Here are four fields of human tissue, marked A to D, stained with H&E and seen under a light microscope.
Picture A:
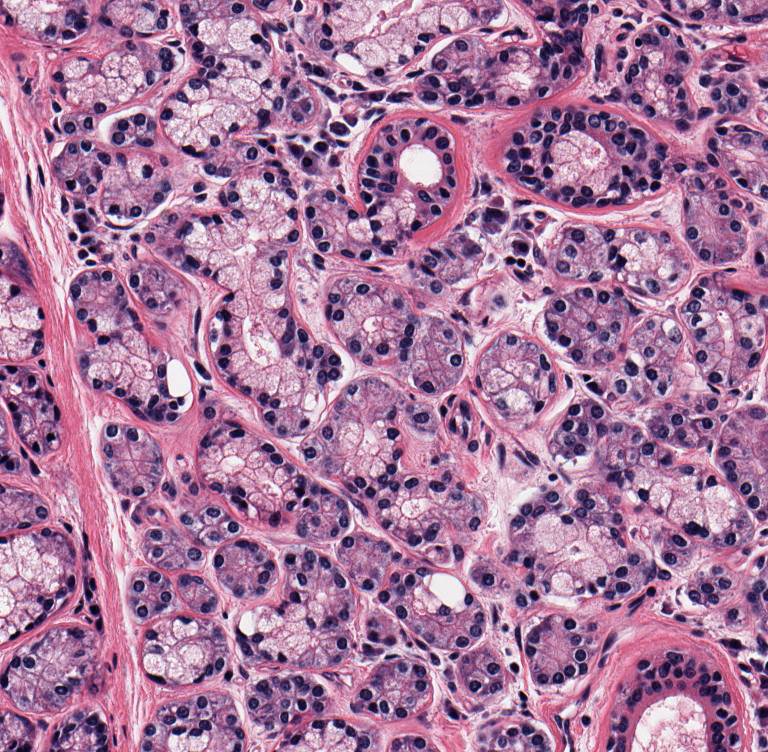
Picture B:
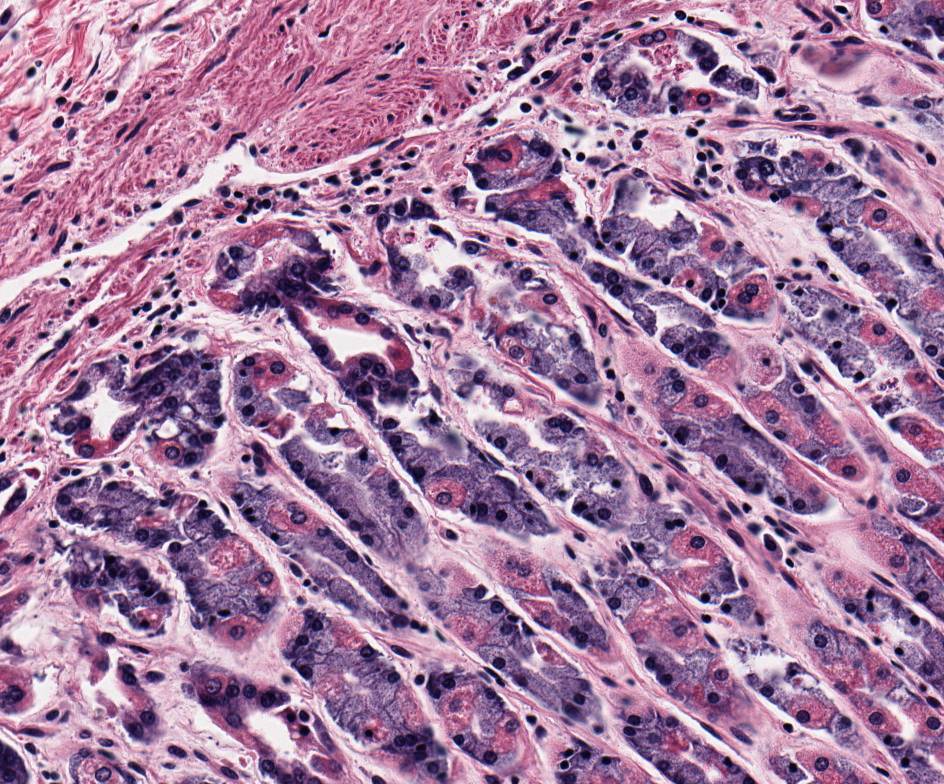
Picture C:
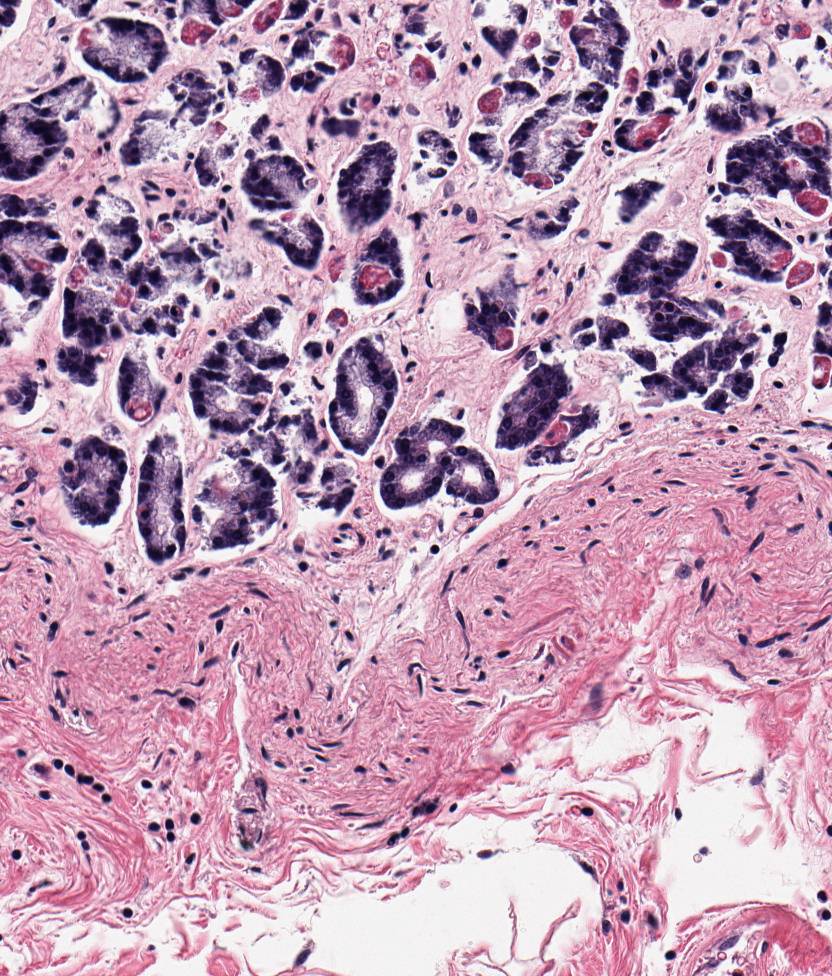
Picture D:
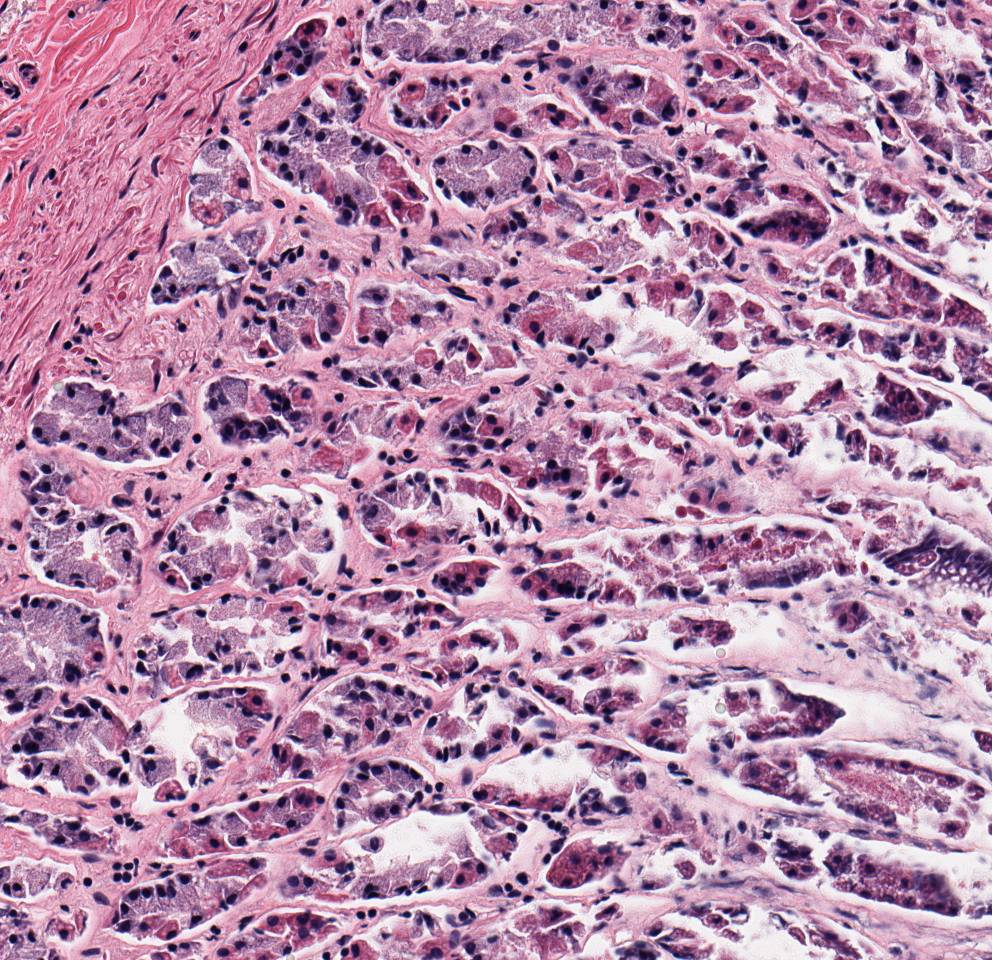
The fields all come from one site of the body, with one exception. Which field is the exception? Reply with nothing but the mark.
A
